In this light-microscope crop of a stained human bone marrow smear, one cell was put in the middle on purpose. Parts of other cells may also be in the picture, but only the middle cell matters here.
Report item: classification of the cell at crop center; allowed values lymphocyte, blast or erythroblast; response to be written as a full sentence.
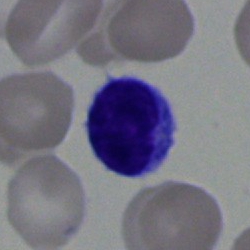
What sits at the centre of this crop is a lymphocyte.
